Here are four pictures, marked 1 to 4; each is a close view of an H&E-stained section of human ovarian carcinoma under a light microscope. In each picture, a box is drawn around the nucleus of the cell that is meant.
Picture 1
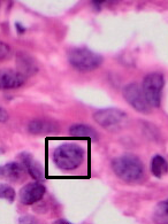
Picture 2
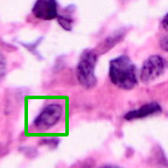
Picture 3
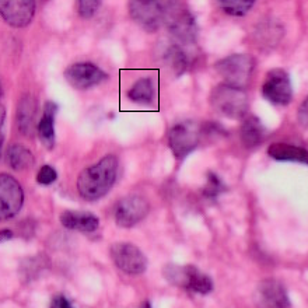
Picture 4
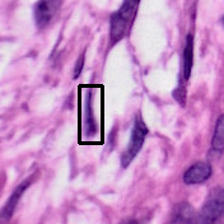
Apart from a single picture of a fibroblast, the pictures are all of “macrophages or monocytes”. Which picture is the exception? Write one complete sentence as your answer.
It is picture 4 that shows the fibroblast.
